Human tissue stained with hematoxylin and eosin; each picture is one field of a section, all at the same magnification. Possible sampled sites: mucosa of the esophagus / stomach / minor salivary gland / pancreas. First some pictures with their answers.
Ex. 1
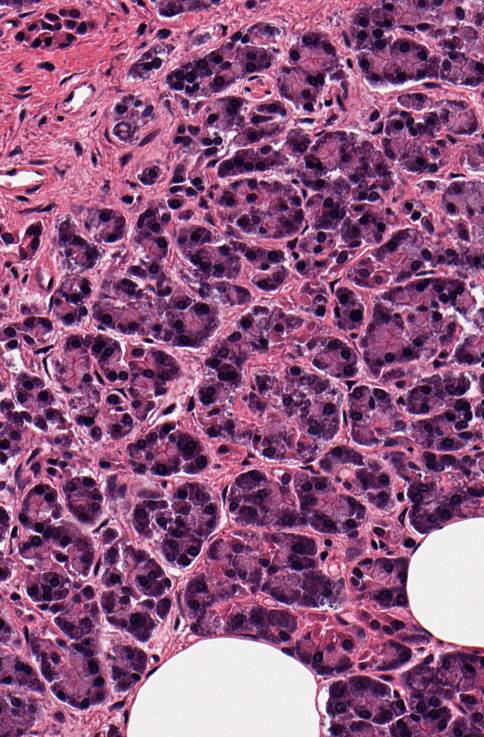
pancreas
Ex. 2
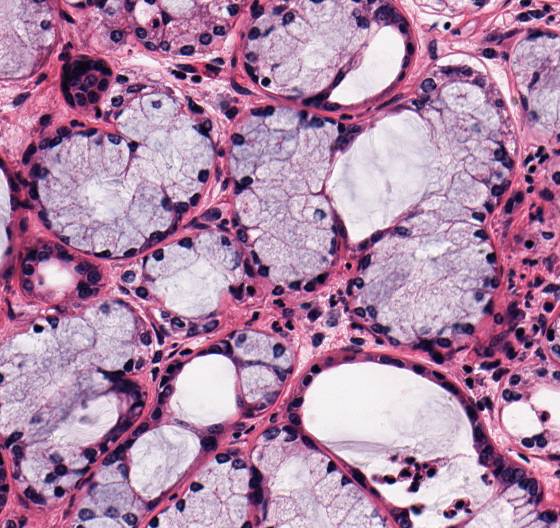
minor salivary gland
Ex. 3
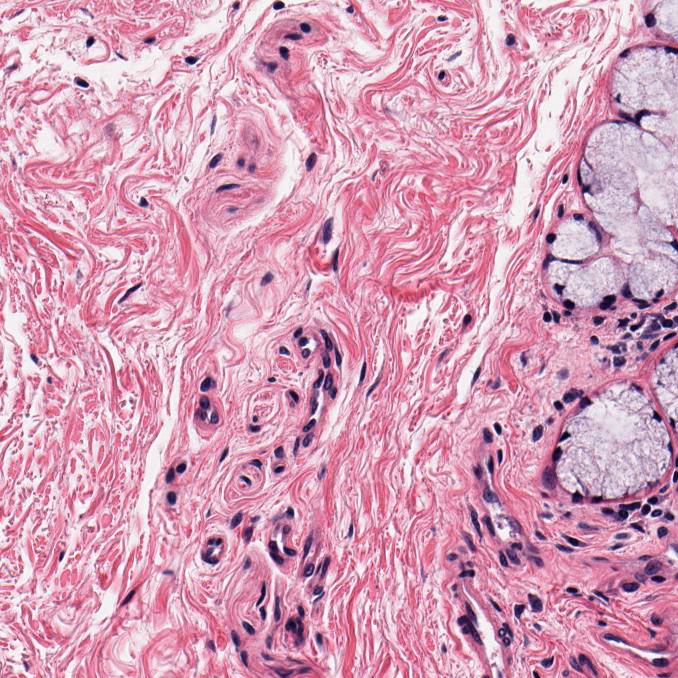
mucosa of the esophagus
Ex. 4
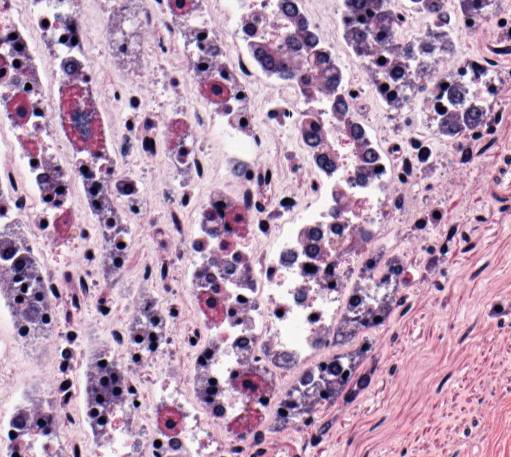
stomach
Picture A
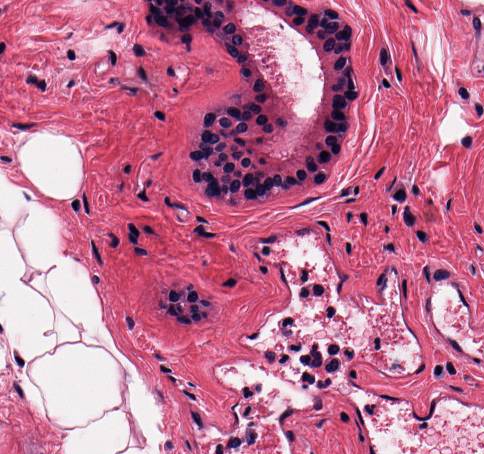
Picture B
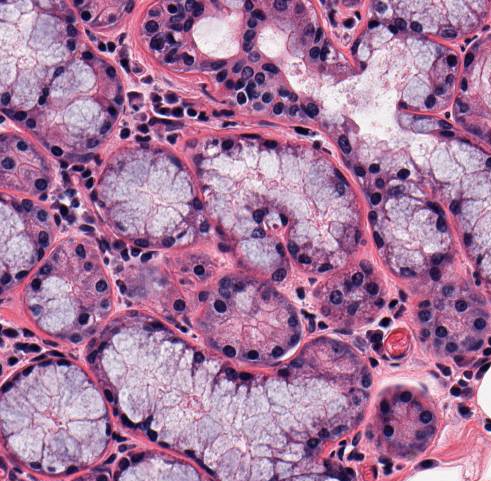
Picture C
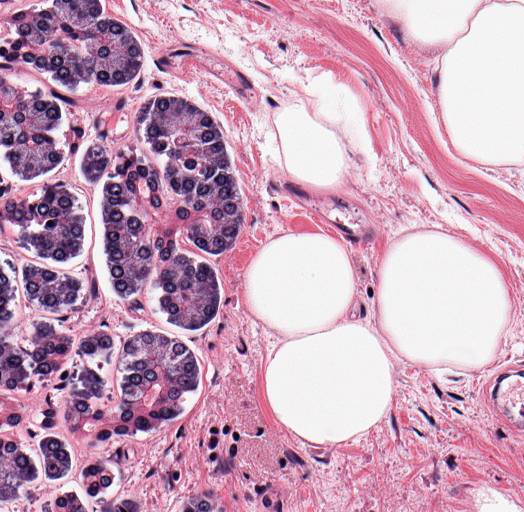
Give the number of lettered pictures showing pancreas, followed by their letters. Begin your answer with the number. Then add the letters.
1, namely C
